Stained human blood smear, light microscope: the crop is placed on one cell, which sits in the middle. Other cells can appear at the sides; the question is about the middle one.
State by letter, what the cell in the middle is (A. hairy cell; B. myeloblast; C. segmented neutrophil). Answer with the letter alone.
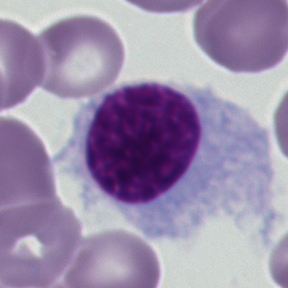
A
